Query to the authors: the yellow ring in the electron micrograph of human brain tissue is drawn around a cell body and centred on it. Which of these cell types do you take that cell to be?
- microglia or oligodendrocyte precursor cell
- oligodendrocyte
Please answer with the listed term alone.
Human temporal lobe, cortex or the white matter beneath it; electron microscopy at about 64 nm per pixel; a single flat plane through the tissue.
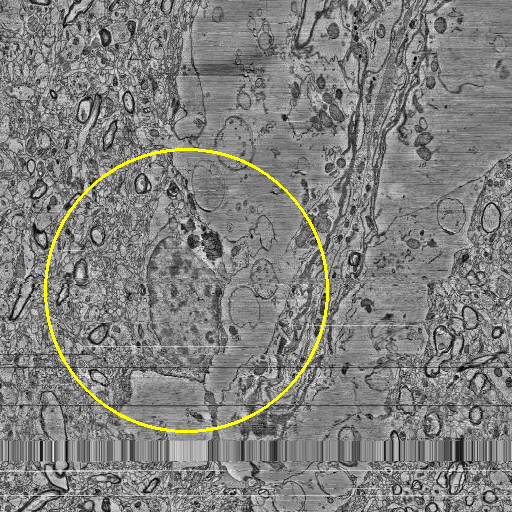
oligodendrocyte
